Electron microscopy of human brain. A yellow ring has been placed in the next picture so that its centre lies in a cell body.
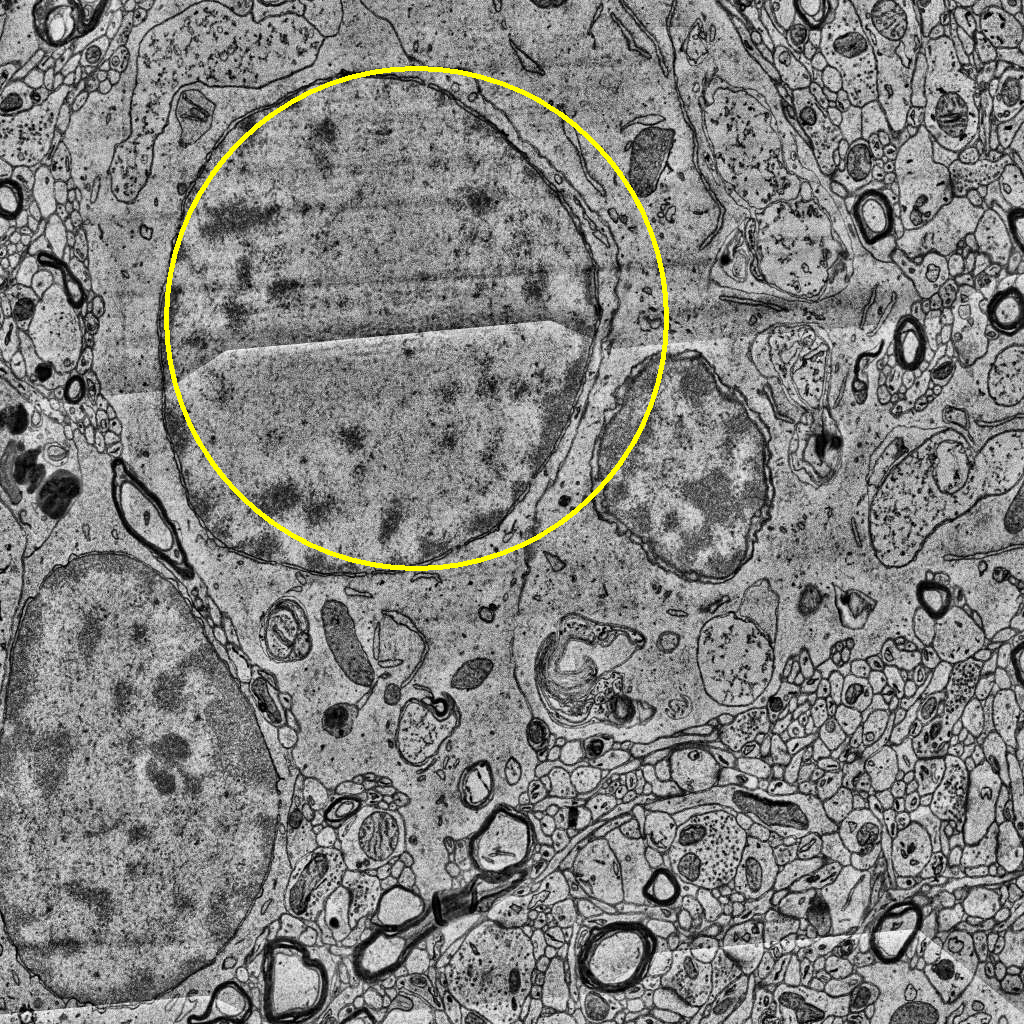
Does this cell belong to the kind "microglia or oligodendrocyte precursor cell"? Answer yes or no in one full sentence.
No, the cell in this picture with the ring's centre in its body is of another kind.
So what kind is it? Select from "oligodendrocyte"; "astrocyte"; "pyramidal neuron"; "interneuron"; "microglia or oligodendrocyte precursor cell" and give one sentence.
As it turns out, the cell at the ring centre is an astrocyte.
